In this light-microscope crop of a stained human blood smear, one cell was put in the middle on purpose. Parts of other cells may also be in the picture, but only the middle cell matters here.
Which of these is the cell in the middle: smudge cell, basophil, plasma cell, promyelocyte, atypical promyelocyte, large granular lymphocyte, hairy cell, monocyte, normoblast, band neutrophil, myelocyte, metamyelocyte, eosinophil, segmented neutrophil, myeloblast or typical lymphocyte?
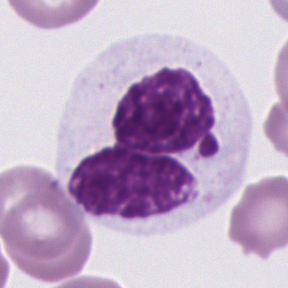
segmented neutrophil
